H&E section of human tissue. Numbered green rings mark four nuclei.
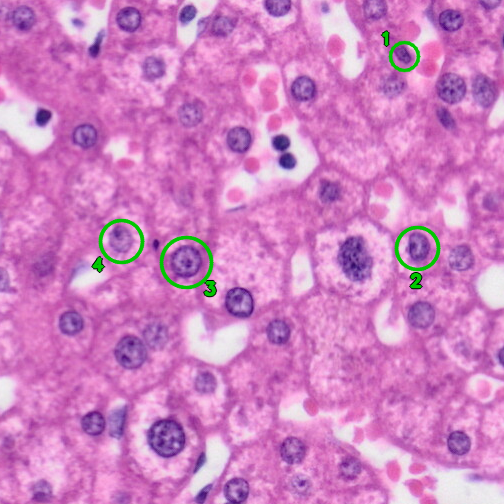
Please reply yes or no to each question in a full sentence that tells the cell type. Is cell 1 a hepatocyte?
No, the cell referred to as 1 is a Kupffer cell, not a hepatocyte.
